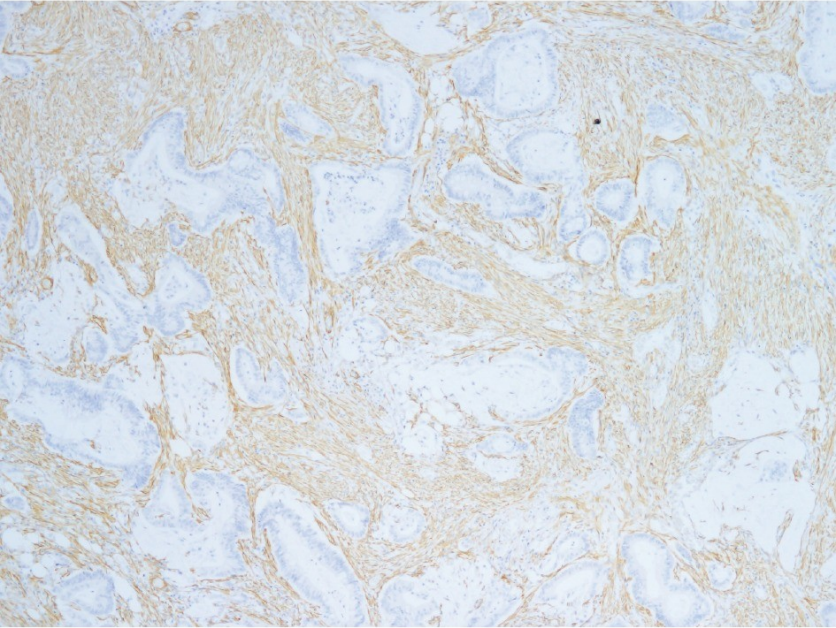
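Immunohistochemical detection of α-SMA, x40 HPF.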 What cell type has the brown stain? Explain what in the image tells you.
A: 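Cancer-associated fibroblasts. Brown-stained spindle-shaped cells fill the stroma between irregular glands. The gland epithelium is unstained, blue.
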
